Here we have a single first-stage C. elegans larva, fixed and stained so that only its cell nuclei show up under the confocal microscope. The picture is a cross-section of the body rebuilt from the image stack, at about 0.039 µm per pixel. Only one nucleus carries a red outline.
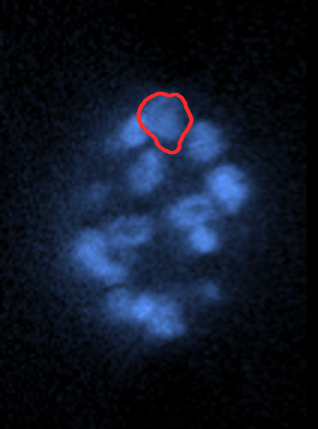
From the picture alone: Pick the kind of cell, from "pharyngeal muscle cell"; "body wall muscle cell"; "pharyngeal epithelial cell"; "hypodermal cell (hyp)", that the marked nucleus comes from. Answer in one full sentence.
This is the nucleus of a hypodermal cell (hyp).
